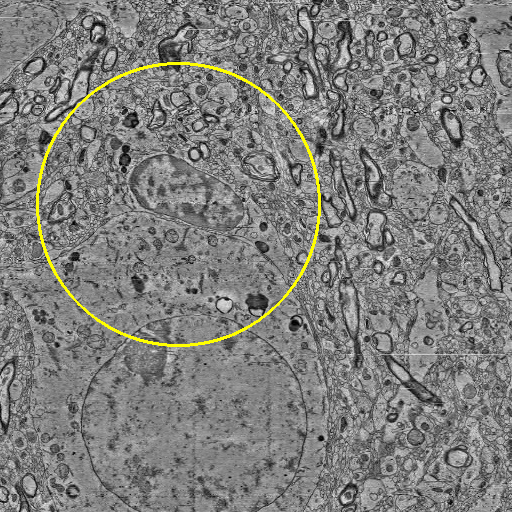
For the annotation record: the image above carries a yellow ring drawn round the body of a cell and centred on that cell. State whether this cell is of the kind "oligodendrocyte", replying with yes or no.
No, this cell is of another kind.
